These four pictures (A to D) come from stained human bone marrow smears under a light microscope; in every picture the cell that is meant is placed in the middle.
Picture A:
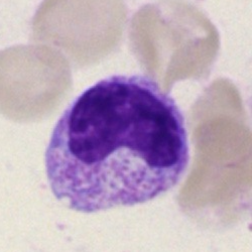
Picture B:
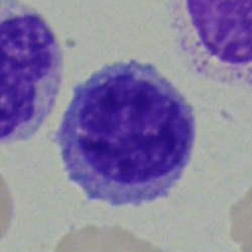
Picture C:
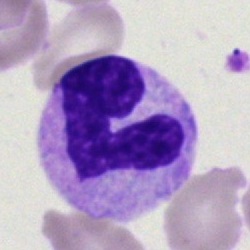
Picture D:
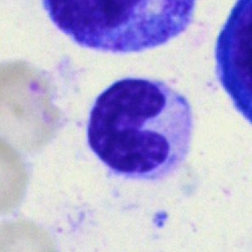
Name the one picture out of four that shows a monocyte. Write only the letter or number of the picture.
B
